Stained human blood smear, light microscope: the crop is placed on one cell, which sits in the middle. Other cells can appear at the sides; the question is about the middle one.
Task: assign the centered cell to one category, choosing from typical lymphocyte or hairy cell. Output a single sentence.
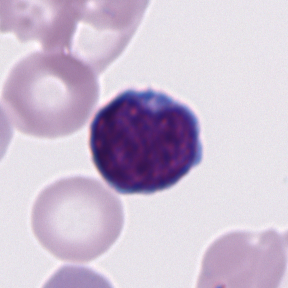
The cell at the middle of the frame should be recorded as a typical lymphocyte.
